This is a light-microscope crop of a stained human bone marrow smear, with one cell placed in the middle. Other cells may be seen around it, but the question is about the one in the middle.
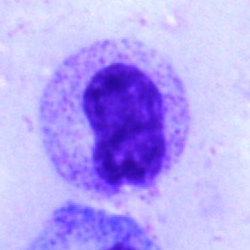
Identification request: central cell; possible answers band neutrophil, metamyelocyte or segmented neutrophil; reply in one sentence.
On this slide crop, the central cell is a metamyelocyte.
